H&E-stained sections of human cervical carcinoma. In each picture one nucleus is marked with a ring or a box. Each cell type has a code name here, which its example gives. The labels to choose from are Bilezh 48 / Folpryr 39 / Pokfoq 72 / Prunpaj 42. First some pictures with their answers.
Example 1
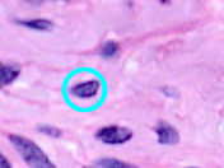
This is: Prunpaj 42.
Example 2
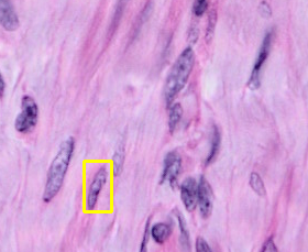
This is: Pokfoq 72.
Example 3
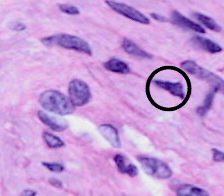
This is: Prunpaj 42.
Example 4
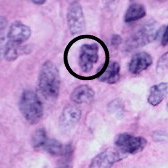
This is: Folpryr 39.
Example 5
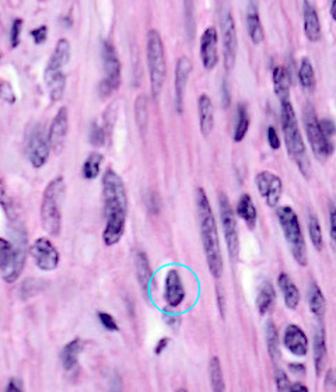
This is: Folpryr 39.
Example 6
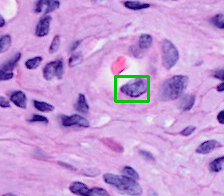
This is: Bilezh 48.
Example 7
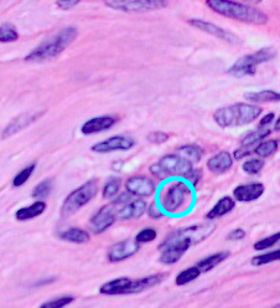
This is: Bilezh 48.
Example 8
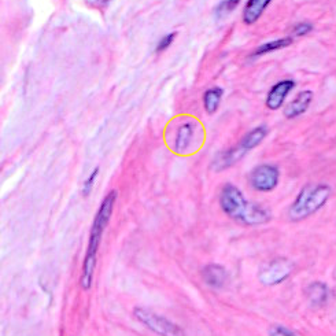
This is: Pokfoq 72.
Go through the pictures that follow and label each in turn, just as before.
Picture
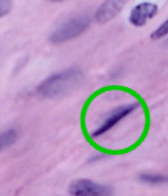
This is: Prunpaj 42.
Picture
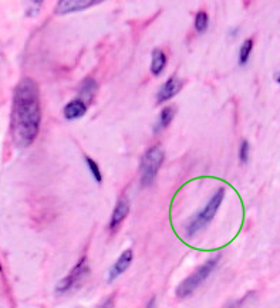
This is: Prunpaj 42.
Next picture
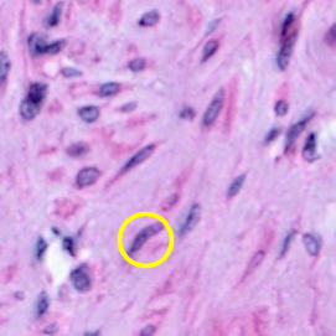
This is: Pokfoq 72.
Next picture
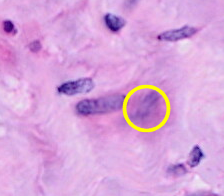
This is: Pokfoq 72.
